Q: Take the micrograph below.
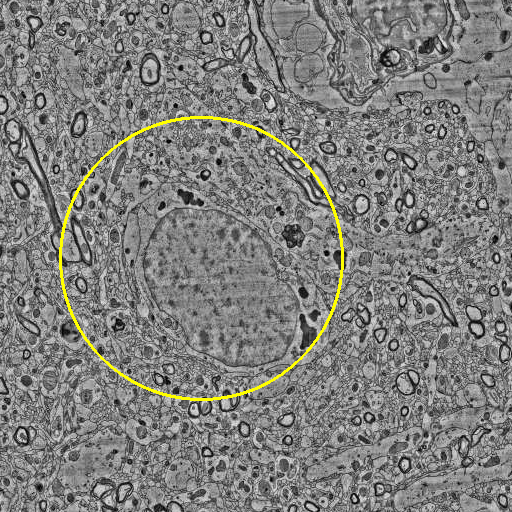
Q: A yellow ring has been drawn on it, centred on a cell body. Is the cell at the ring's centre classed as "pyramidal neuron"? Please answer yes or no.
No, its kind is another one.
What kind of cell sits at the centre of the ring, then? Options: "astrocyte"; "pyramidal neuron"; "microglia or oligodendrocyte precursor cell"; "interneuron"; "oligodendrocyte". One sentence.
As it turns out, the cell at the ring centre is an interneuron.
